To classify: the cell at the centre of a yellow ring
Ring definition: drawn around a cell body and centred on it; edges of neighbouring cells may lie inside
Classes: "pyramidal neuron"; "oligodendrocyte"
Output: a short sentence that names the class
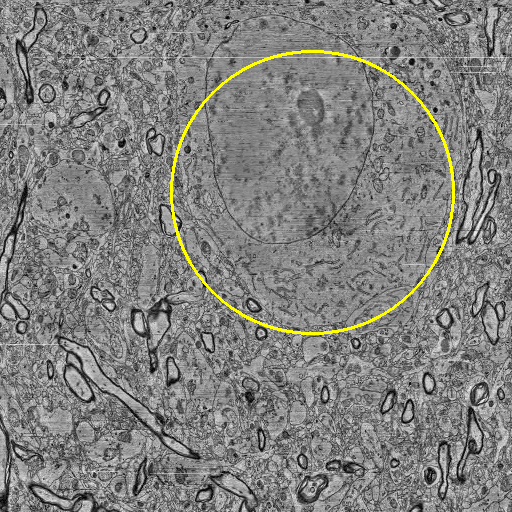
The ringed cell is a pyramidal neuron.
